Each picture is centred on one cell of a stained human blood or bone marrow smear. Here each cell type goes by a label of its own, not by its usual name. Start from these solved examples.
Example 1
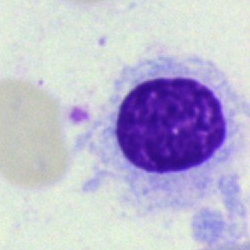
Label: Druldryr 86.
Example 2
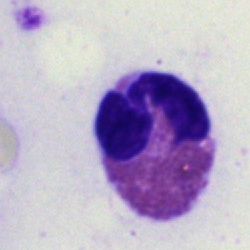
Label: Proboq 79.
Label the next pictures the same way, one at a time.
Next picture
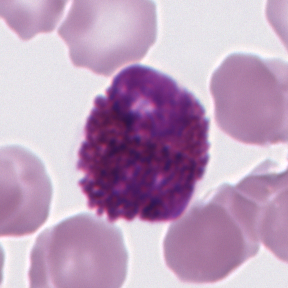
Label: Proboq 79.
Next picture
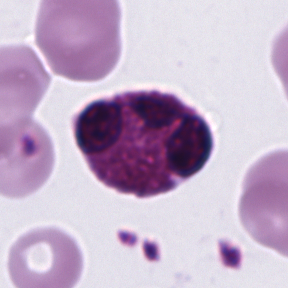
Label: Proboq 79.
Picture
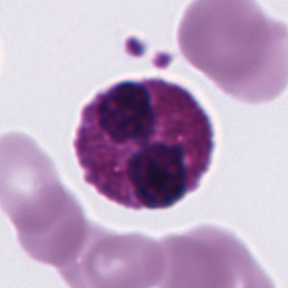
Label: Proboq 79.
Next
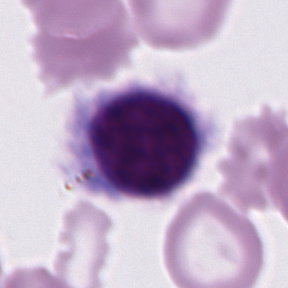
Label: Druldryr 86.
